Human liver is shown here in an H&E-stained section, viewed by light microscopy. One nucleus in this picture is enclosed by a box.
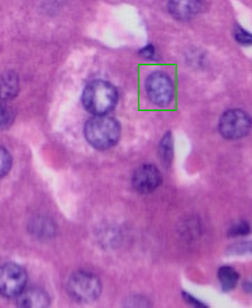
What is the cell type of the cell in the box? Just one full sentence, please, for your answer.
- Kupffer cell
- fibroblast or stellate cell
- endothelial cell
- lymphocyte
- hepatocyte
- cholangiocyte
With respect to cell type, the cell in the box is a cholangiocyte.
